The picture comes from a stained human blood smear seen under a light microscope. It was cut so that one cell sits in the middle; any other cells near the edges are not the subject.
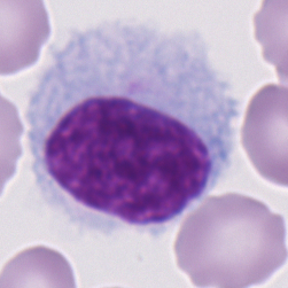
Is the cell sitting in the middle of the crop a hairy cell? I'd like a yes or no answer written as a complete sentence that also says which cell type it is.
Yes, the crop's central cell is a hairy cell.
